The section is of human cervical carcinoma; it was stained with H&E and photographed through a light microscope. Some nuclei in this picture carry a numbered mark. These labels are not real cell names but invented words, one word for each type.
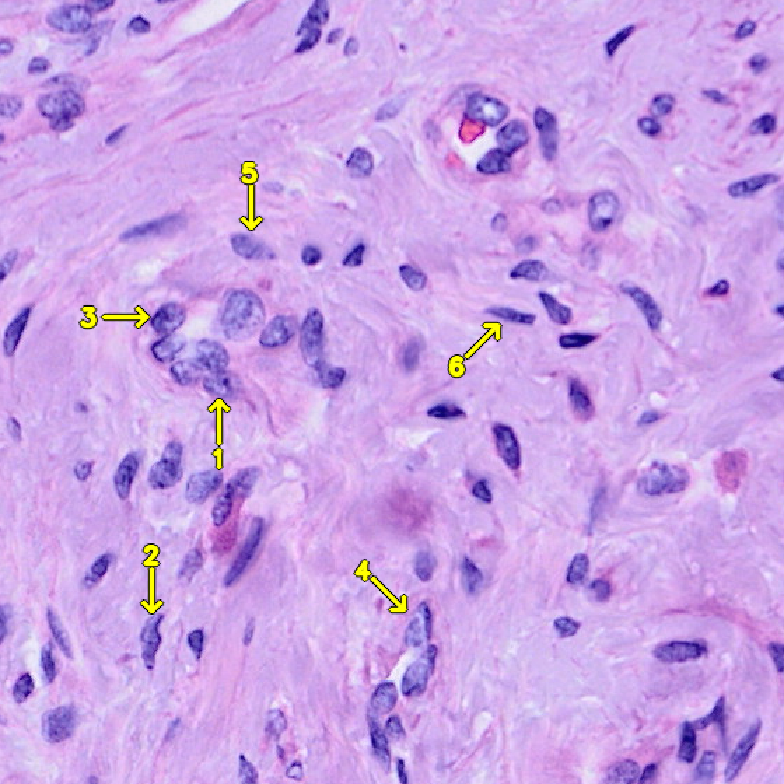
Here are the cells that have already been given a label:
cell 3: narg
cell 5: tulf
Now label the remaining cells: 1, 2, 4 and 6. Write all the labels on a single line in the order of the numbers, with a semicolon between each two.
narg; tulf; narg; tulf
